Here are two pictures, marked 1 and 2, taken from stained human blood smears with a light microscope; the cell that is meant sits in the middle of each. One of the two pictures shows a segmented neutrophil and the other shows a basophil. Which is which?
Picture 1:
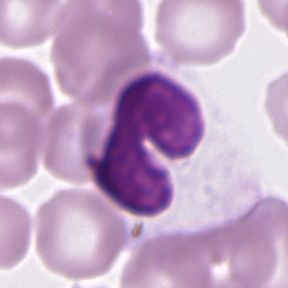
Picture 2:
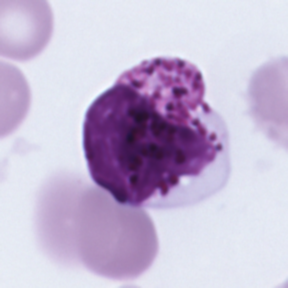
1: segmented neutrophil
2: basophil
